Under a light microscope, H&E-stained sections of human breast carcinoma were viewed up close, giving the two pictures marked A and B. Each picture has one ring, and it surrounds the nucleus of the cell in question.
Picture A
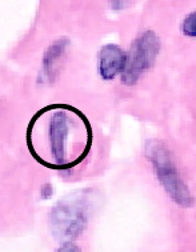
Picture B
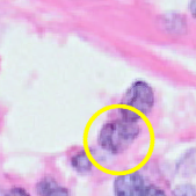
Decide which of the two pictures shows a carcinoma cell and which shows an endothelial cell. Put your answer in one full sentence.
The cell in picture A is an endothelial cell, and the one in picture B is a carcinoma cell.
